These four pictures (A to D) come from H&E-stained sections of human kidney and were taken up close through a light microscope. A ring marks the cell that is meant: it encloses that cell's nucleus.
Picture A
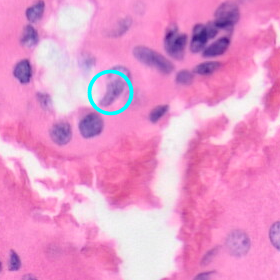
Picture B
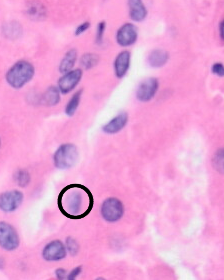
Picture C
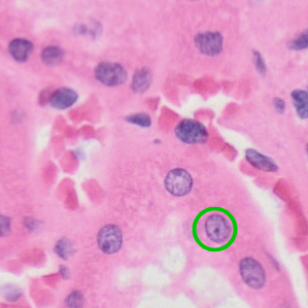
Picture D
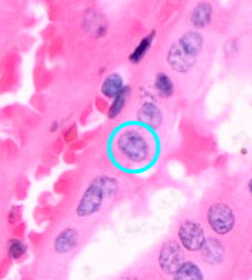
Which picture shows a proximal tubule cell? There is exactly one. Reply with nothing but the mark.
C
